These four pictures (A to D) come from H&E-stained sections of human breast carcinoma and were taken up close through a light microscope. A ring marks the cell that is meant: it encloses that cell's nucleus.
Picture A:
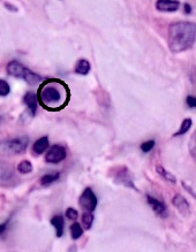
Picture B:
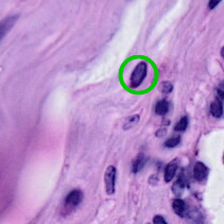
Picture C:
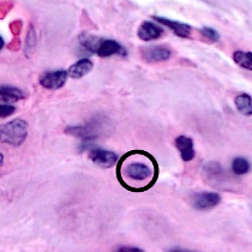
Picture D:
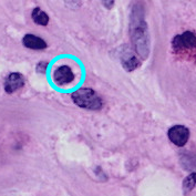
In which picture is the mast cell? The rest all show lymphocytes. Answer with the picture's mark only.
C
